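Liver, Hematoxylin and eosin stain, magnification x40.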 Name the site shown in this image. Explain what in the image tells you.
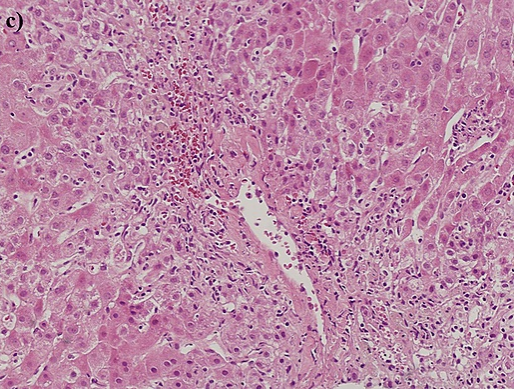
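A thin-walled vein lies in the middle of the field. The damage and bleeding are centred on this vein.
Hence: centrilobular zone.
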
